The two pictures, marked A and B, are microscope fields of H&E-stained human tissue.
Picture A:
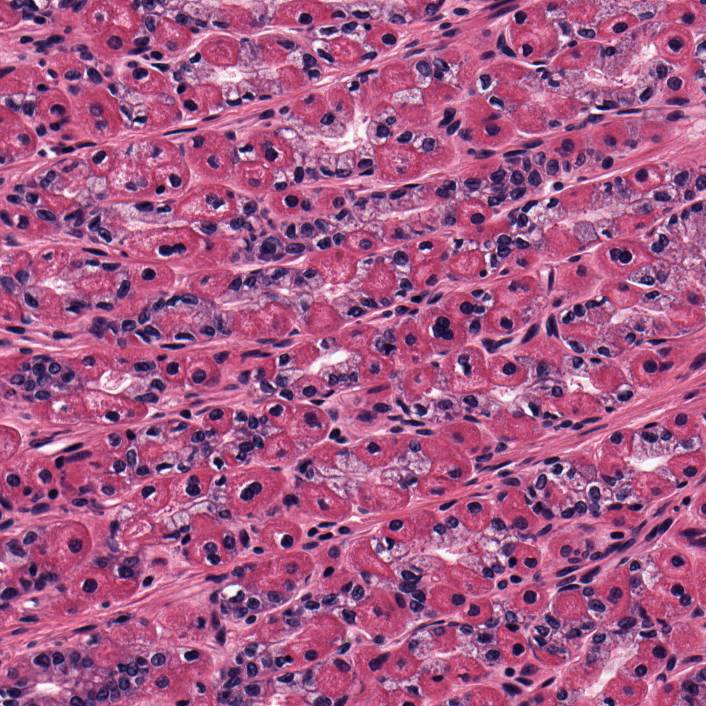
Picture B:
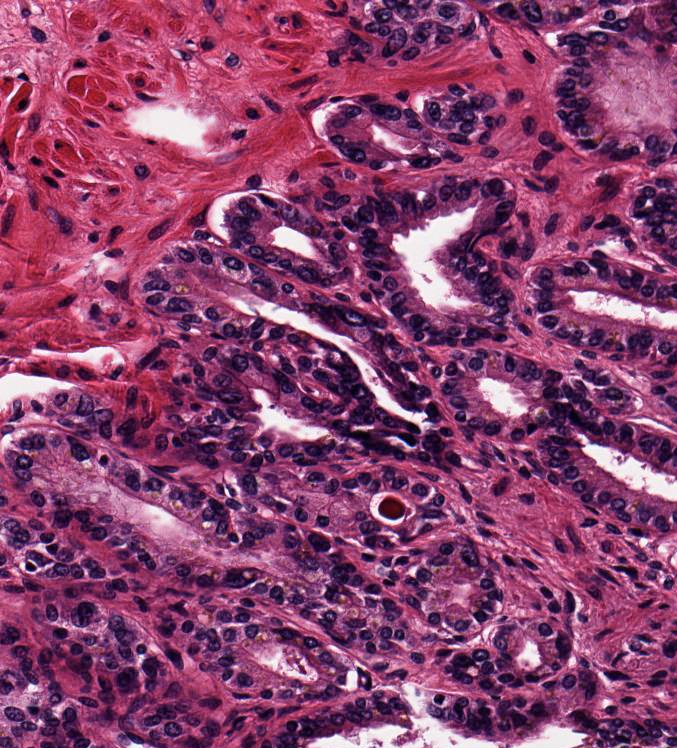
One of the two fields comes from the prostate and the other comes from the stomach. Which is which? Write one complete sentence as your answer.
Picture A comes from the stomach; picture B comes from the prostate.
